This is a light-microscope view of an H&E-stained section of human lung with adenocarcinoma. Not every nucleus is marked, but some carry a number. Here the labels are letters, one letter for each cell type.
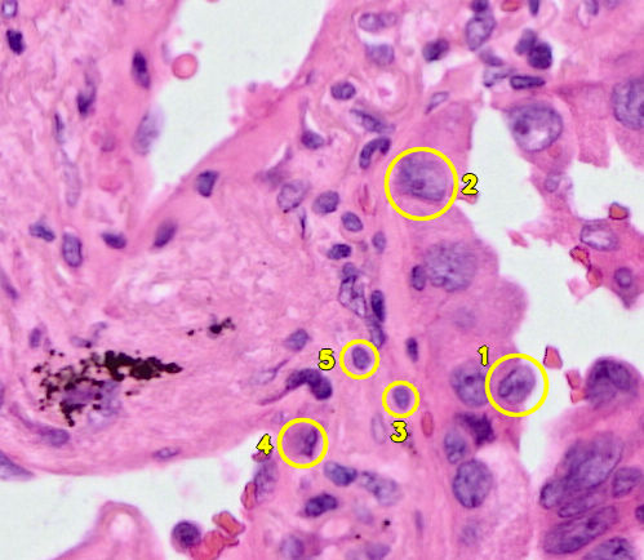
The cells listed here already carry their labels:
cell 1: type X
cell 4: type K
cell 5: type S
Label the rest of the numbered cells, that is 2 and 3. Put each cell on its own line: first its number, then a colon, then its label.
2: type X
3: type S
